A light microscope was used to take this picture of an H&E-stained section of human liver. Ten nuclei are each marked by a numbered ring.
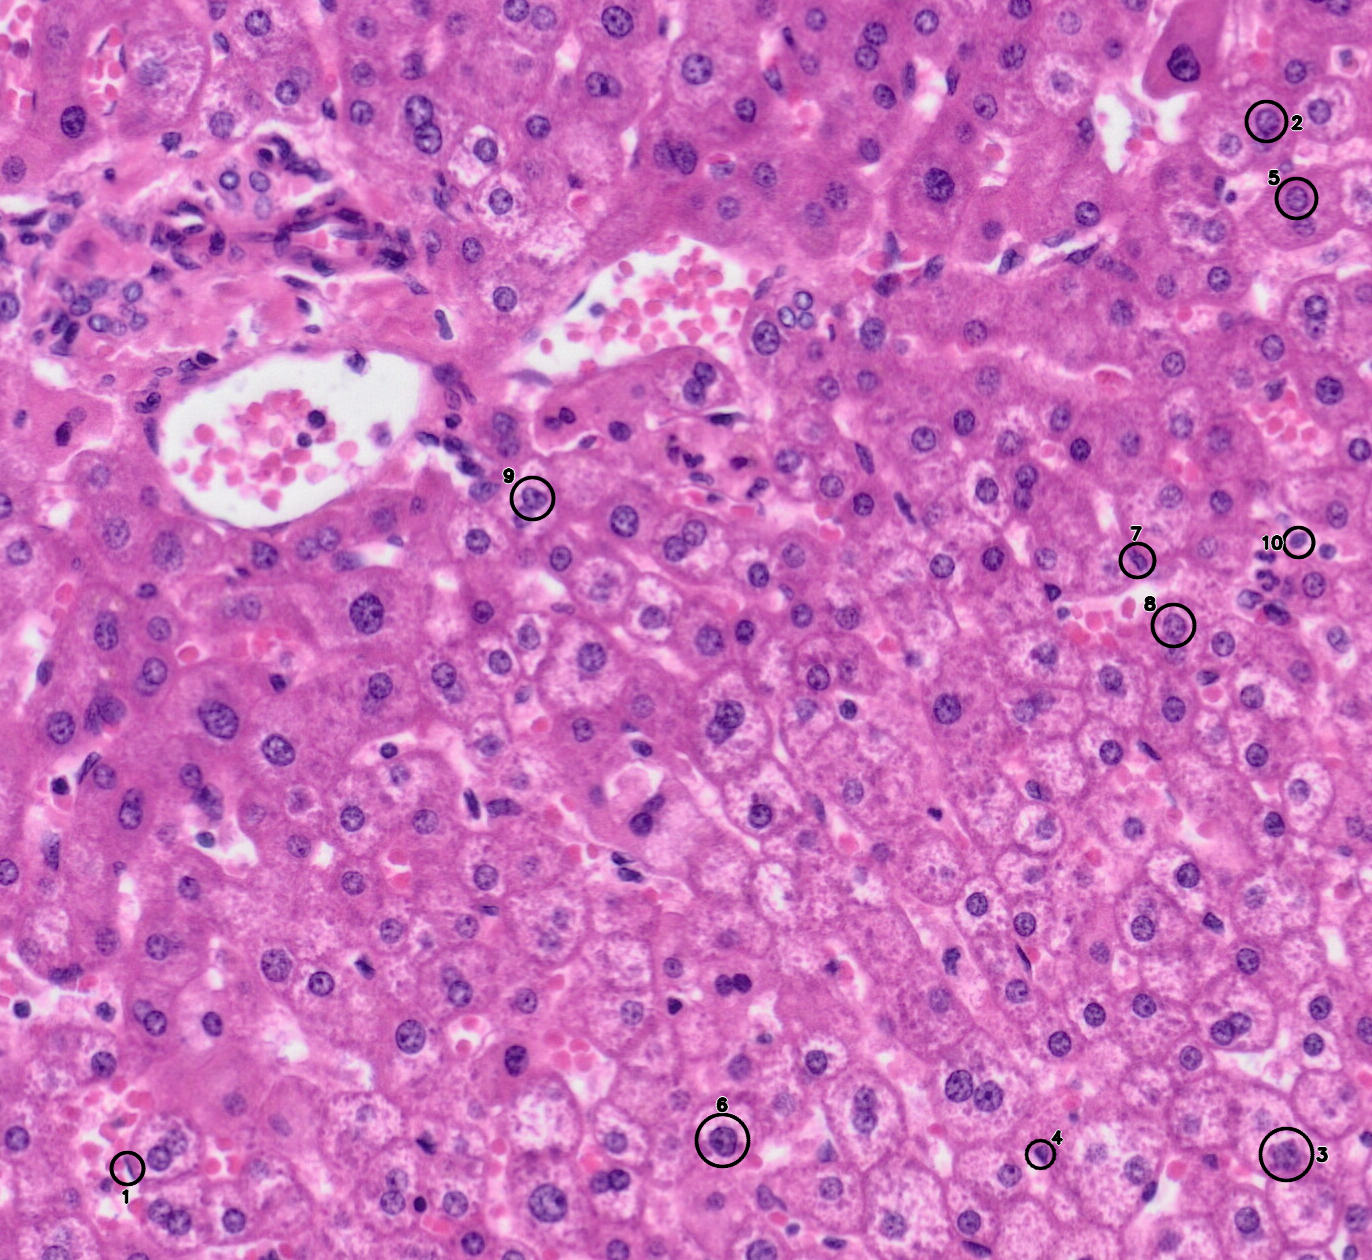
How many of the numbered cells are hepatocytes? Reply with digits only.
6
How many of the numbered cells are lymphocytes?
1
